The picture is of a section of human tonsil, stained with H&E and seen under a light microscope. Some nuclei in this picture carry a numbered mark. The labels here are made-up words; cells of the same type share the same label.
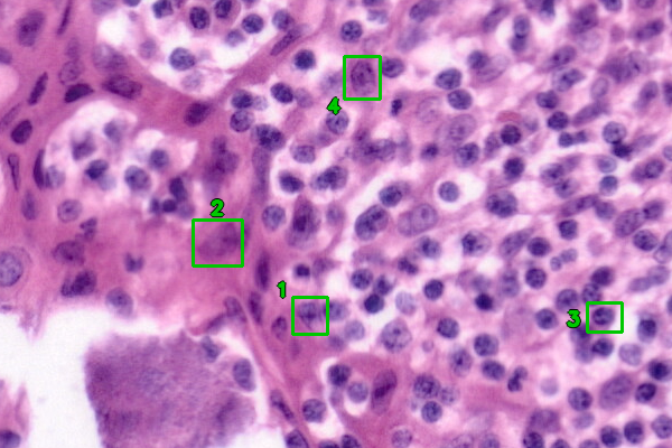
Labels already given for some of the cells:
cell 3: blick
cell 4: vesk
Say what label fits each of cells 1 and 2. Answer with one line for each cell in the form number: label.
1: vesk
2: vesk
